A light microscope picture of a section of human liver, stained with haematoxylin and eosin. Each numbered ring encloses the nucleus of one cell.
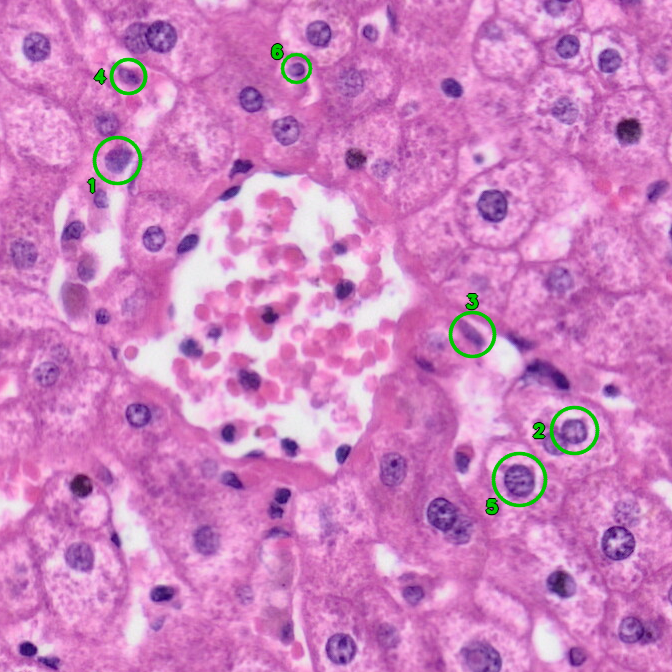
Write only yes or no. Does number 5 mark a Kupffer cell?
no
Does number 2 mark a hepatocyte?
yes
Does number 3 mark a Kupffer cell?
yes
